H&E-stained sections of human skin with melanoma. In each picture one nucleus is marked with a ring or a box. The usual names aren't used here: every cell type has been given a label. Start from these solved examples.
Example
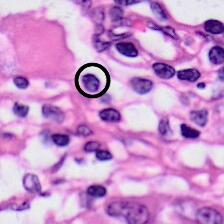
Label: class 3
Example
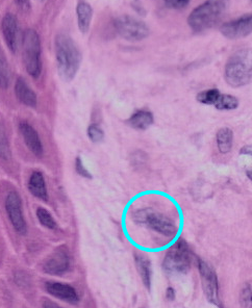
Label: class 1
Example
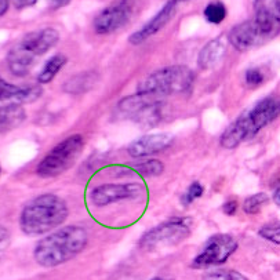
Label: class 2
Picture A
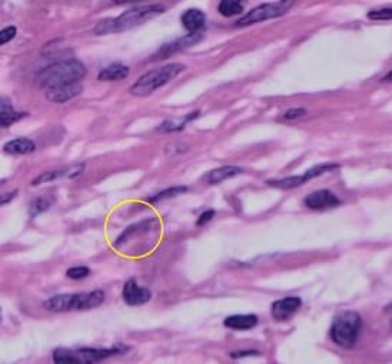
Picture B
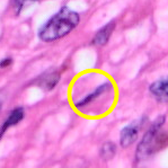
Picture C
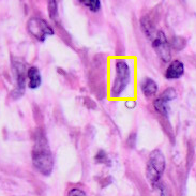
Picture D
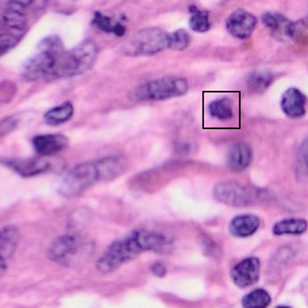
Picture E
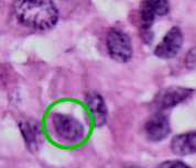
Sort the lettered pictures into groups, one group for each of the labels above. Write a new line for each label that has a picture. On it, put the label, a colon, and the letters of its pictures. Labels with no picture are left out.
class 3: D
class 1: A, B, C
class 2: E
